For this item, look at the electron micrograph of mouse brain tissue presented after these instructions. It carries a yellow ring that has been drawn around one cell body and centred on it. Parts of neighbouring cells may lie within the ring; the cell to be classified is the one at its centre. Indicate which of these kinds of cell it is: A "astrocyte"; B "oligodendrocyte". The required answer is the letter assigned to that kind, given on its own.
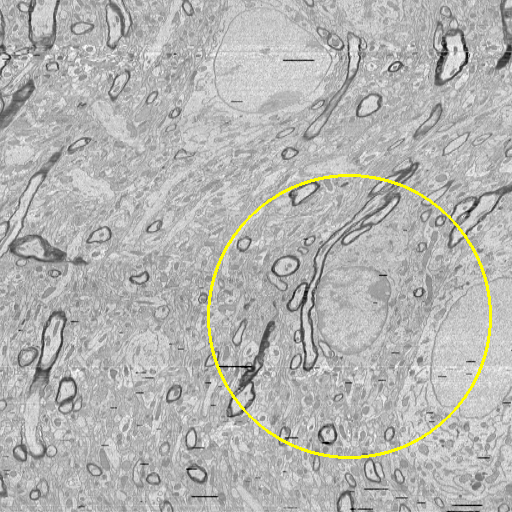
B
